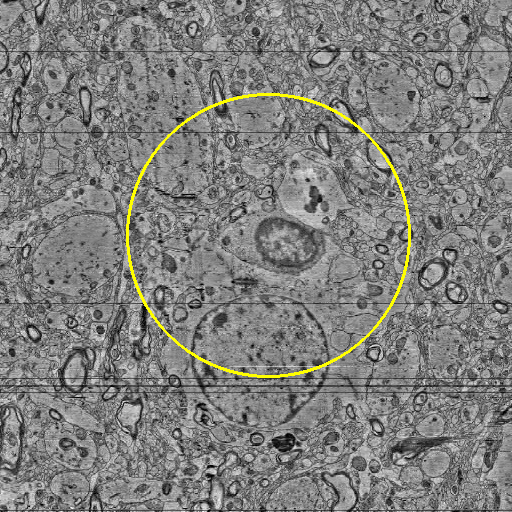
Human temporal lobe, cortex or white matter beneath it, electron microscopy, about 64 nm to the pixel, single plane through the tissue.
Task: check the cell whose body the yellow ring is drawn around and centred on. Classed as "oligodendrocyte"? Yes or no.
Yes, it is classed that way.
